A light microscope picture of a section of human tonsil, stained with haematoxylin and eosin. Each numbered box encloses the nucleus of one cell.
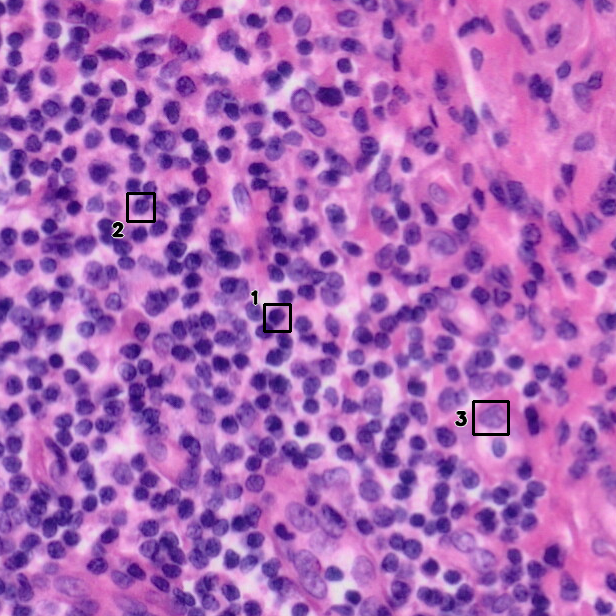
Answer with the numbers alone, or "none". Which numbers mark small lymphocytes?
1, 2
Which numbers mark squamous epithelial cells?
none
